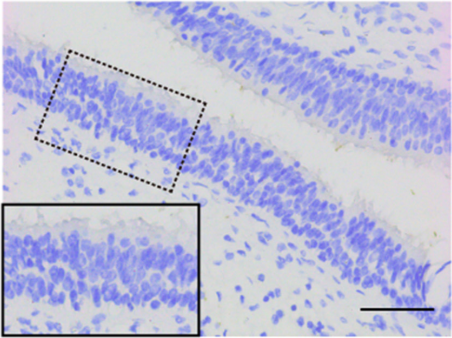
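The cytoplasm is pale and shows almost no brown colour. The underlying connective tissue holds scattered blue nuclei, many of them elongated.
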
